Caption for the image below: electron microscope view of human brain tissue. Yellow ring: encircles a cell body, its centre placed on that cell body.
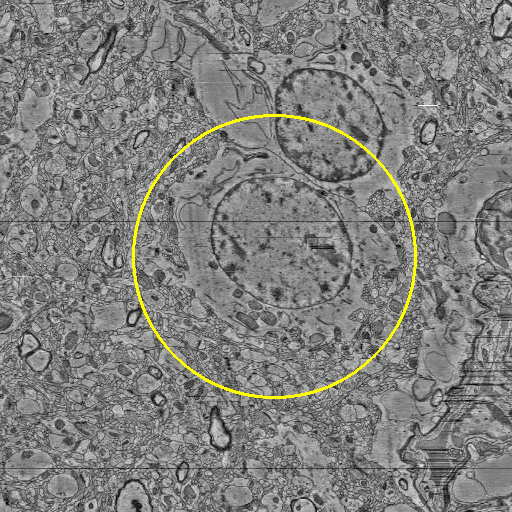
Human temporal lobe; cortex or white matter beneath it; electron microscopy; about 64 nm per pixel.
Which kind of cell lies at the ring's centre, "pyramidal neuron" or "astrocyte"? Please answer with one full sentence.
The picture shows an astrocyte at the centre of the yellow ring.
